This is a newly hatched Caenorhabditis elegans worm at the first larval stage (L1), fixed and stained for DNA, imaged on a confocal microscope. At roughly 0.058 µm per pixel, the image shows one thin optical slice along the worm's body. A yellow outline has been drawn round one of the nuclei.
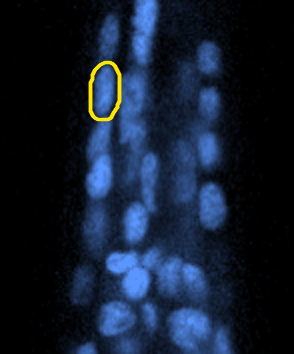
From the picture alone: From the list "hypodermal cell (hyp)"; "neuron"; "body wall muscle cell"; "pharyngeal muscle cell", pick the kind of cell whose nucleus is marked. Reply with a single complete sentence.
What is marked is the nucleus of a hypodermal cell (hyp).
